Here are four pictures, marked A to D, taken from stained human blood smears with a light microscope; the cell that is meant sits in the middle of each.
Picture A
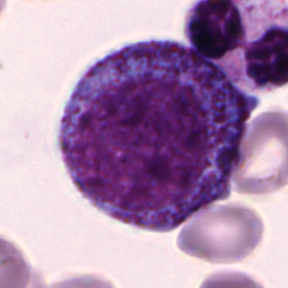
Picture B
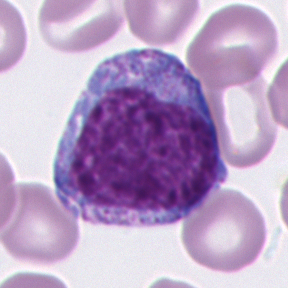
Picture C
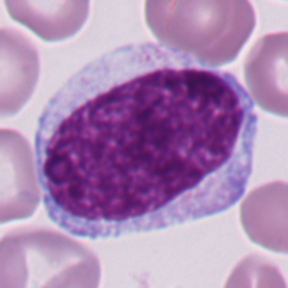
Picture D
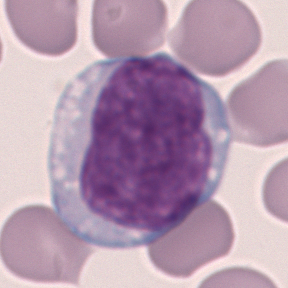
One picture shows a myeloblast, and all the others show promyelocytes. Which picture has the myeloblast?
D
